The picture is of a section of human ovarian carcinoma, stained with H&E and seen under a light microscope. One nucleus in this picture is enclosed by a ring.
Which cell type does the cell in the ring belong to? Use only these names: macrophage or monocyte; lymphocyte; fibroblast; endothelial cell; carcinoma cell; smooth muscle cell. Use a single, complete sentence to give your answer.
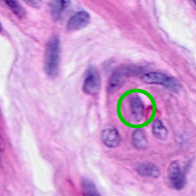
As classified here, the cell in the ring is an endothelial cell.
